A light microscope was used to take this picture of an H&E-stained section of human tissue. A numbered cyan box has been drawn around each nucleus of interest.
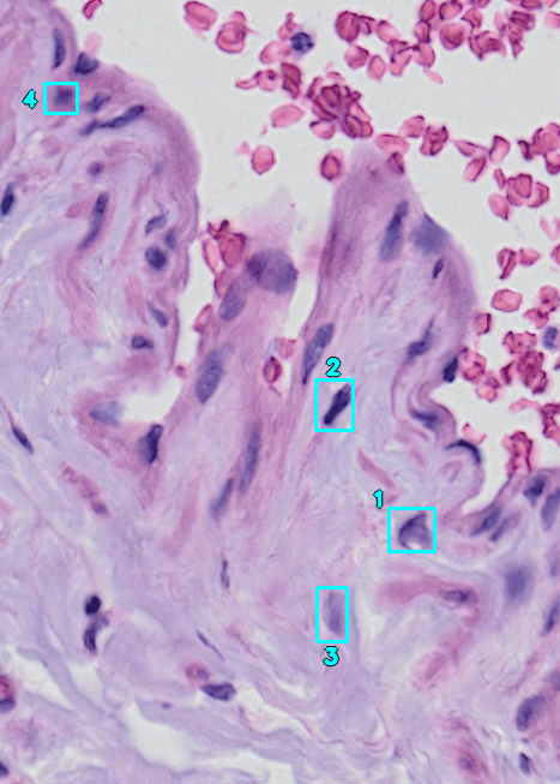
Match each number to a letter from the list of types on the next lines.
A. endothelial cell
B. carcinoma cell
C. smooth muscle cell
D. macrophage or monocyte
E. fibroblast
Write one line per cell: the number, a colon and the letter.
1: E
2: E
3: E
4: C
